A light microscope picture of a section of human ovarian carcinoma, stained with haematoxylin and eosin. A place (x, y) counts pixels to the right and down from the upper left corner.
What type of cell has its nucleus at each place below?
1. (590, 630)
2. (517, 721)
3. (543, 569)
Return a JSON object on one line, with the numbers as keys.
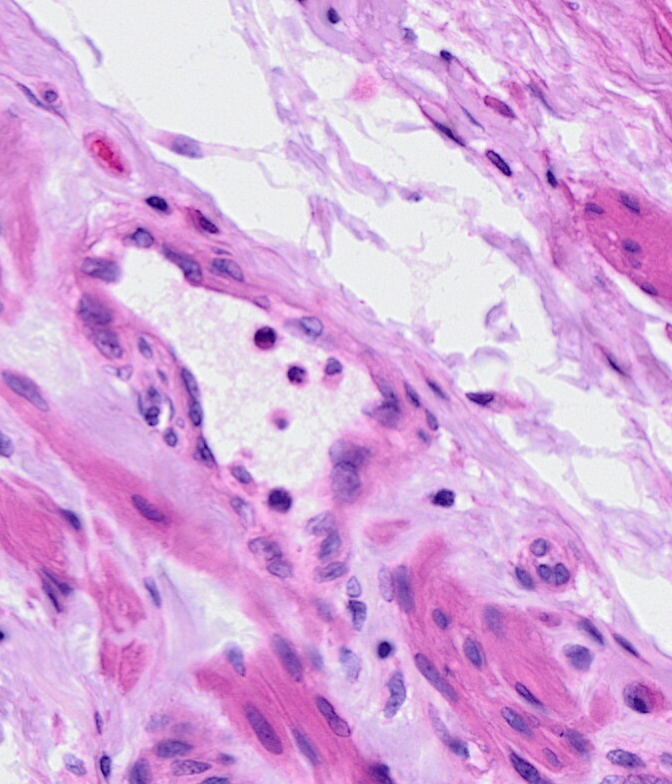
{"1": "fibroblast", "2": "smooth muscle cell", "3": "endothelial cell"}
